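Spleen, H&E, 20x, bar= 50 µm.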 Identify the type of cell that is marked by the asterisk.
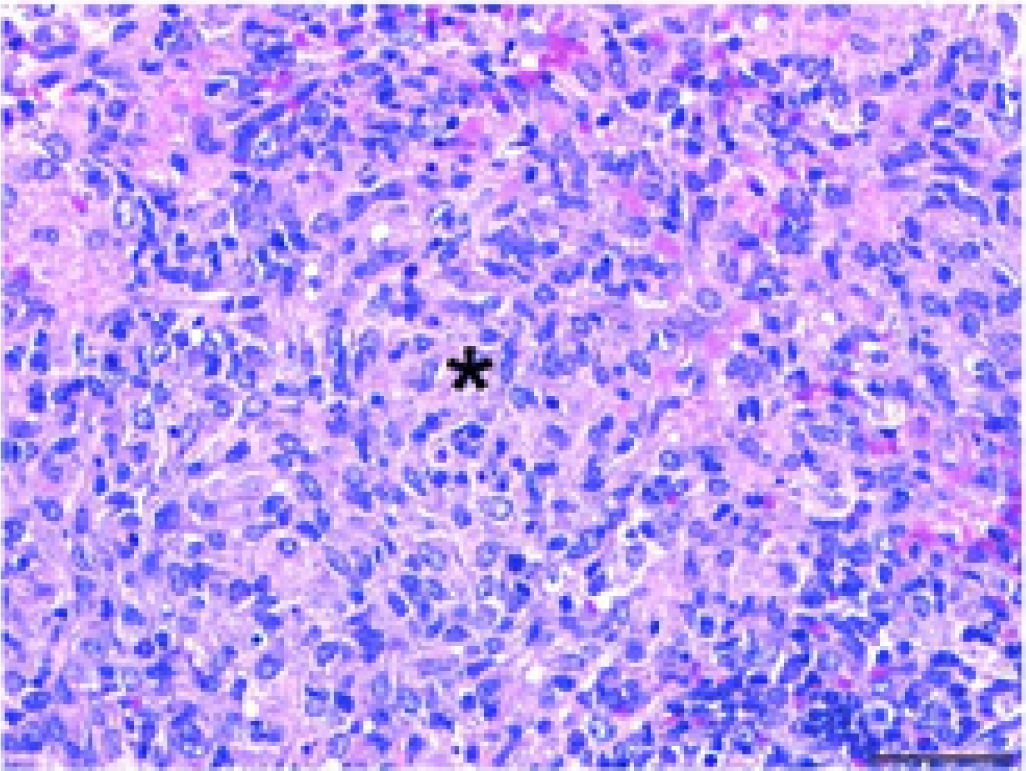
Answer: epithelioid macrophages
